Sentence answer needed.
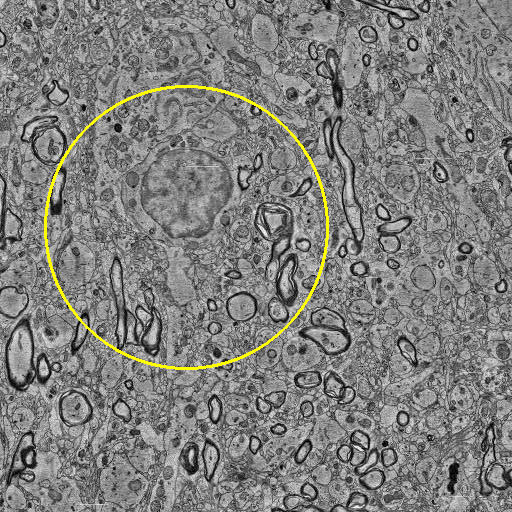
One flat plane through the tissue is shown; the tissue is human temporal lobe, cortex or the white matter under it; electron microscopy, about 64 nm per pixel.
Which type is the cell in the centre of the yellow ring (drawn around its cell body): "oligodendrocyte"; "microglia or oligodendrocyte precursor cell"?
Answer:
In the centre of the yellow ring is an oligodendrocyte.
